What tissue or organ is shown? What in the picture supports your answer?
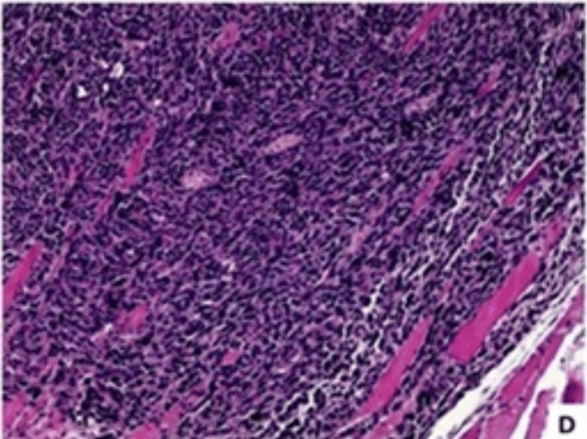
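Bright pink elongated fibres scattered through the field. Crowded dark-nucleated cells lie between and around the fibres. On this evidence: striated muscle.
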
